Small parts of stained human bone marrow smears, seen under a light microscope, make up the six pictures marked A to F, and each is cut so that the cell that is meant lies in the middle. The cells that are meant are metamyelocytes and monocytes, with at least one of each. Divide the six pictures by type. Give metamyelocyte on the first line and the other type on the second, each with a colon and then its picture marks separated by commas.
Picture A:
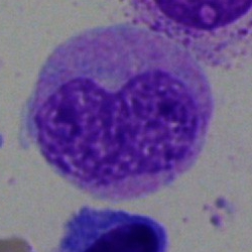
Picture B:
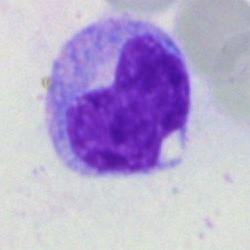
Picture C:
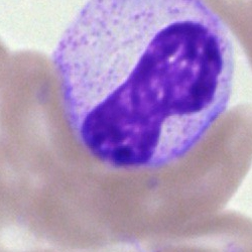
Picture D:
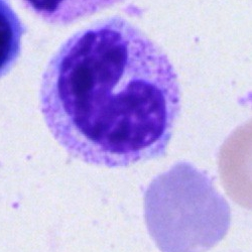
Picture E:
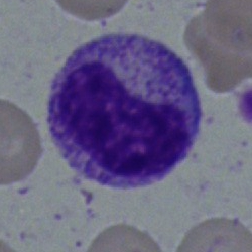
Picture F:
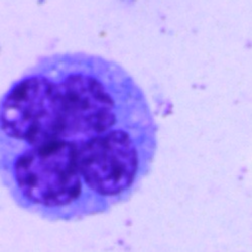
metamyelocyte: A, C, D, E
monocyte: B, F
